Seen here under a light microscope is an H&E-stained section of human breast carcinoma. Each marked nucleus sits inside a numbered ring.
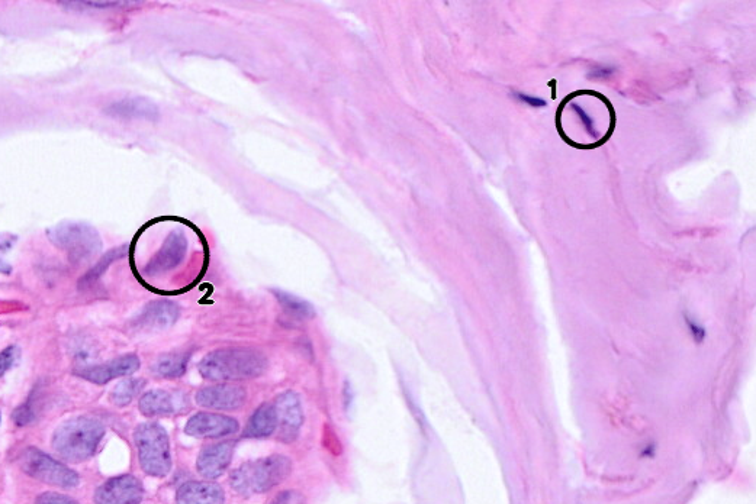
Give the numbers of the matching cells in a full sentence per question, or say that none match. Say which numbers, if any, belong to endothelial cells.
Cell 2 is an endothelial cell, while all remaining marked cells are of other types.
